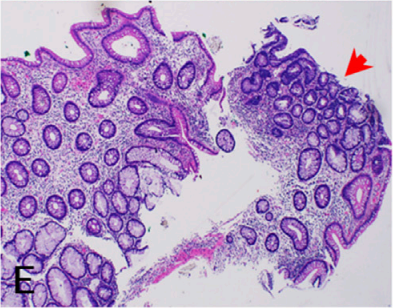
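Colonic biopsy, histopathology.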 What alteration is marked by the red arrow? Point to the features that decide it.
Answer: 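Low grade dysplasia. At the arrow the crypts are crowded and more darkly stained than in the fragment to the left. Their epithelium has dark, crowded nuclei.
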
